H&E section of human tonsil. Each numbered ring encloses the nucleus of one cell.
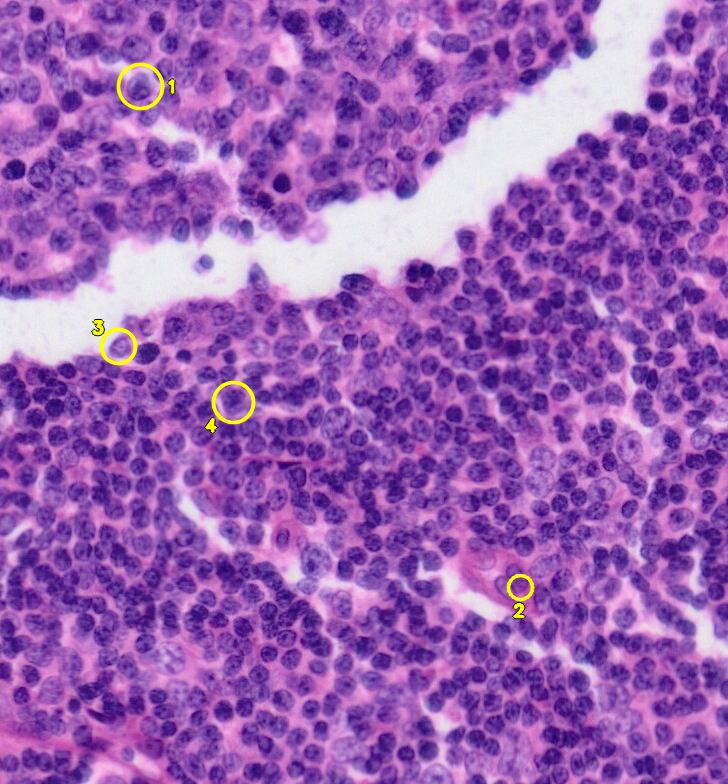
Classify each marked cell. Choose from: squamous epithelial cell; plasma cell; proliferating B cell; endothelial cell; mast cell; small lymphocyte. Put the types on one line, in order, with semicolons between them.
proliferating B cell; endothelial cell; proliferating B cell; small lymphocyte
